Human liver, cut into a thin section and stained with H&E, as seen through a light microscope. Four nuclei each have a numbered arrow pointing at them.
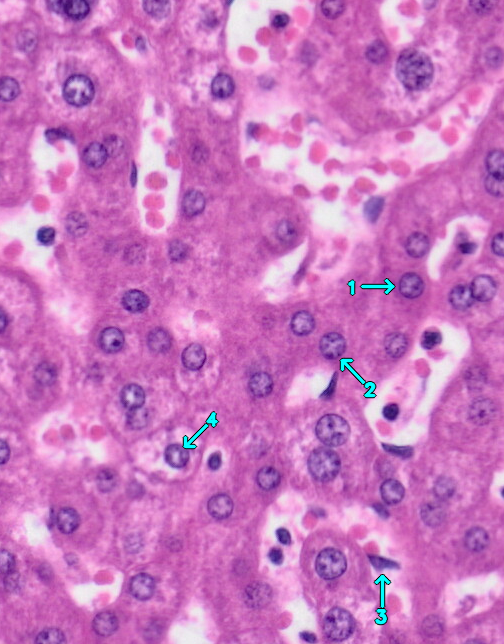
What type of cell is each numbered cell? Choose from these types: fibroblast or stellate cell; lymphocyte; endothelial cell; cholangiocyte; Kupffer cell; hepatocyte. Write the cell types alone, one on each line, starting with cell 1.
hepatocyte
hepatocyte
endothelial cell
hepatocyte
